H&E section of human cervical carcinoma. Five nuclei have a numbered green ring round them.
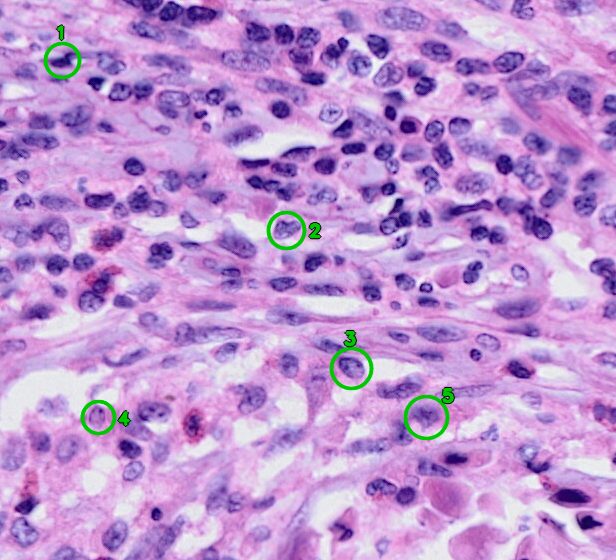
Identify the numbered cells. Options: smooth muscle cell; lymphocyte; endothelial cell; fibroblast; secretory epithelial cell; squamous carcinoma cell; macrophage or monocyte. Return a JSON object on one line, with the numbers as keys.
{"1": "lymphocyte", "2": "lymphocyte", "3": "macrophage or monocyte", "4": "macrophage or monocyte", "5": "macrophage or monocyte"}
